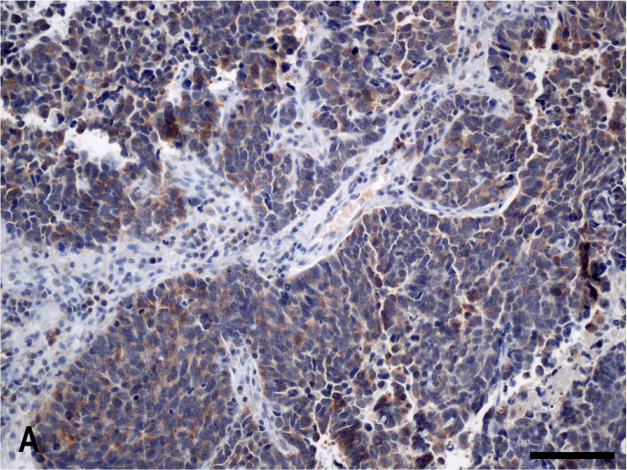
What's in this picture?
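Sheets and nests of small, tightly packed carcinoma cells with dark nuclei and scant cytoplasm fill the field. Brown staining is spread diffusely through the cytoplasm of the tumour cells, while the thin strands of stroma between the nests stay blue.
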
